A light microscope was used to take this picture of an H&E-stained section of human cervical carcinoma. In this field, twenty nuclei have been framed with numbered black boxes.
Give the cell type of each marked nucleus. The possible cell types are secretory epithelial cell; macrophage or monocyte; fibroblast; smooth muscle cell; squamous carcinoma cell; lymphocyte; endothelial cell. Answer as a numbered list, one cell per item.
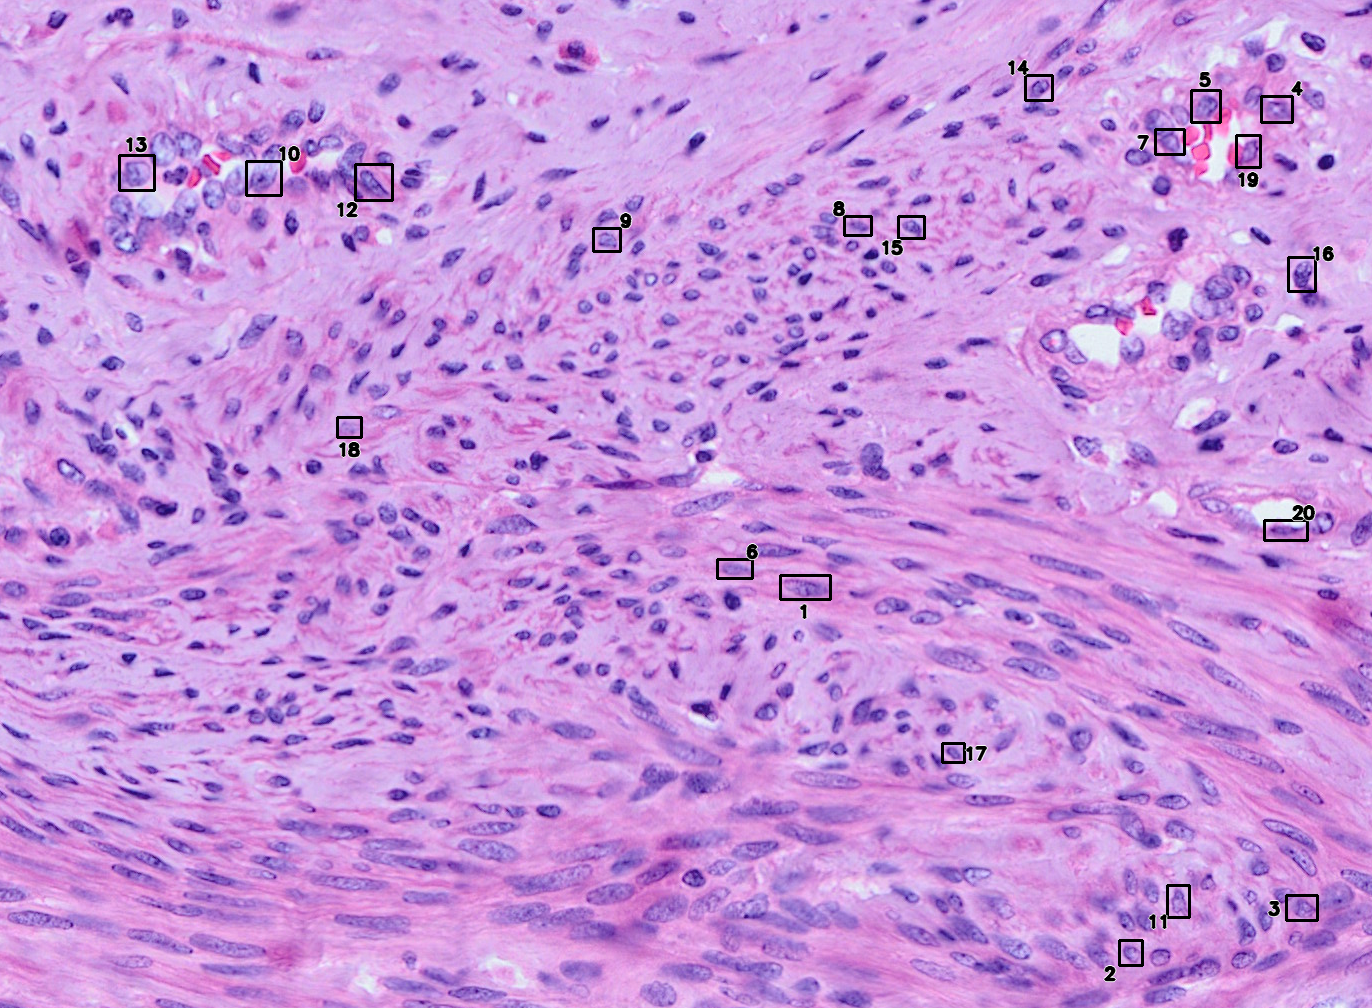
1. smooth muscle cell
2. smooth muscle cell
3. smooth muscle cell
4. endothelial cell
5. endothelial cell
6. smooth muscle cell
7. endothelial cell
8. smooth muscle cell
9. smooth muscle cell
10. endothelial cell
11. smooth muscle cell
12. endothelial cell
13. endothelial cell
14. smooth muscle cell
15. smooth muscle cell
16. lymphocyte
17. smooth muscle cell
18. smooth muscle cell
19. endothelial cell
20. endothelial cell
